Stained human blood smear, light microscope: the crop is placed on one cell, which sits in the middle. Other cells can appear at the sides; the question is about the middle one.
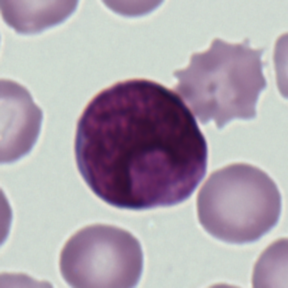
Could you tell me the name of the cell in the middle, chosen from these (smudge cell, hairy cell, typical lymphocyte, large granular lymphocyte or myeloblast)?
myeloblast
